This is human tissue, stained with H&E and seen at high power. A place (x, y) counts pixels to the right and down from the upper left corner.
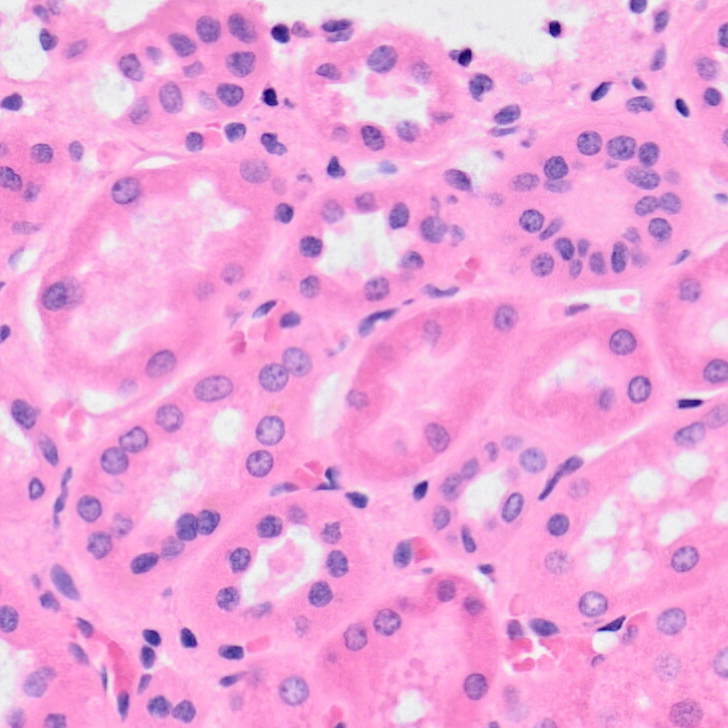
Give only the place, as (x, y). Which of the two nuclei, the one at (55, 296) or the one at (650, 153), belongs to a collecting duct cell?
(650, 153)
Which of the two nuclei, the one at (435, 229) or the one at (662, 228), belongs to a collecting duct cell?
(662, 228)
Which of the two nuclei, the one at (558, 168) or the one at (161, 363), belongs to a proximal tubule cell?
(161, 363)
